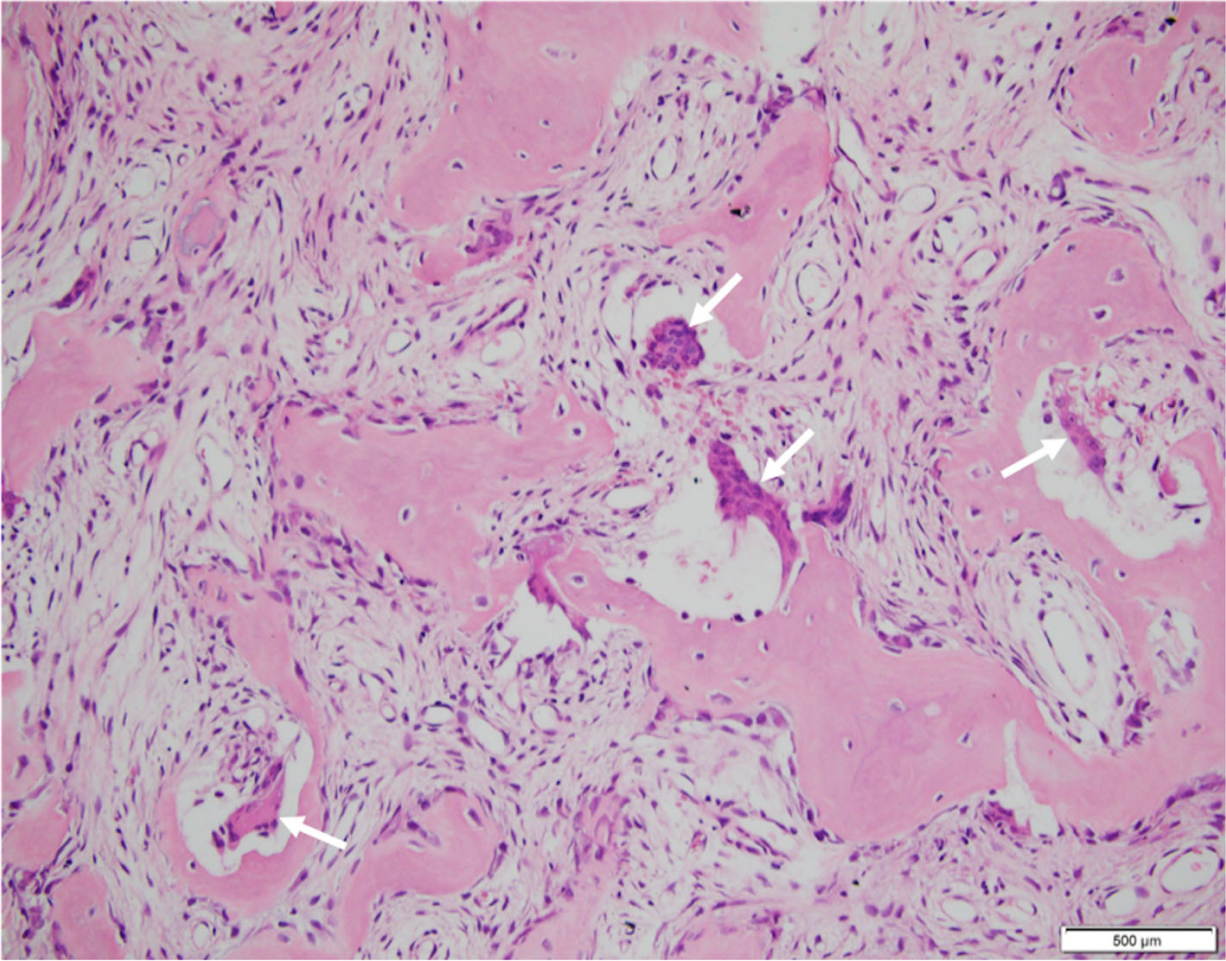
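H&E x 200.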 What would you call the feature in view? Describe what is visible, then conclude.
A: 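Howship’s lacunae. Several scalloped, bay-like hollows cut into the edges of the pink bone. Large multinucleated cells sit inside these hollows.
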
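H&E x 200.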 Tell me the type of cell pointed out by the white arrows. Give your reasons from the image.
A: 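The marked cells are large, with several clustered dark purple nuclei. They lie in scooped-out spaces against the edge of the pink bone. Their cytoplasm is pink and dense. On this evidence: osteoclasts.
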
